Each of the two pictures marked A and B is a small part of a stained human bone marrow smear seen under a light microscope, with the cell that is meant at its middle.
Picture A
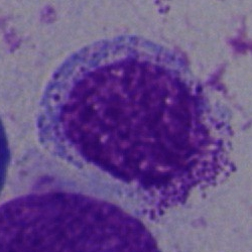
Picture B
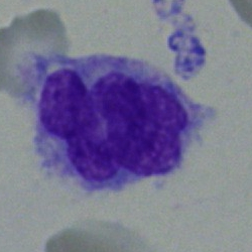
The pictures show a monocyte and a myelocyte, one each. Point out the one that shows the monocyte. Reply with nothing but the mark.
B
